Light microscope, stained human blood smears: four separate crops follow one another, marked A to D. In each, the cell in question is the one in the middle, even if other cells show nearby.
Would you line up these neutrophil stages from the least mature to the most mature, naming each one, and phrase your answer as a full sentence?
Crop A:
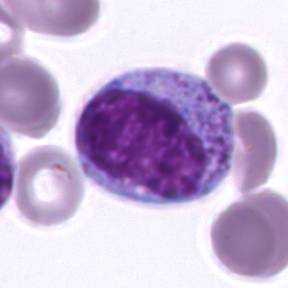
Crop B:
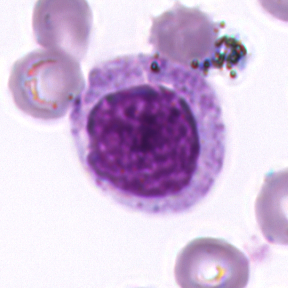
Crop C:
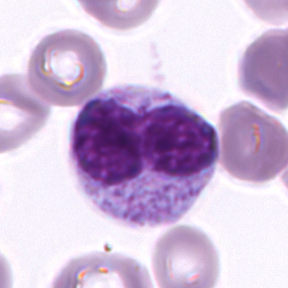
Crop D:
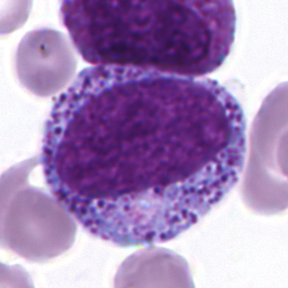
Arranged by increasing maturity, the sequence is crop D (a promyelocyte), crop B (a myelocyte), crop A (a metamyelocyte) and crop C (a band neutrophil).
